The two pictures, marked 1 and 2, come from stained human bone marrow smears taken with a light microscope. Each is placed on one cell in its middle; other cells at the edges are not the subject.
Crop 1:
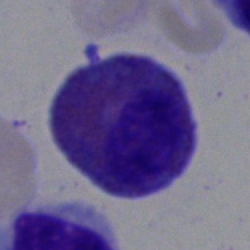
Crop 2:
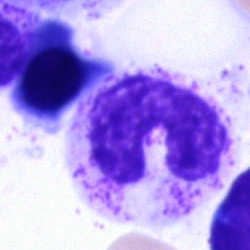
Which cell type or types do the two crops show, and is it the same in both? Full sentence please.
No, crop 1 contains an eosinophil, and crop 2 contains a band neutrophil.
